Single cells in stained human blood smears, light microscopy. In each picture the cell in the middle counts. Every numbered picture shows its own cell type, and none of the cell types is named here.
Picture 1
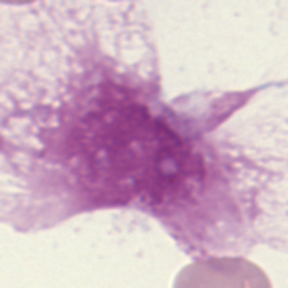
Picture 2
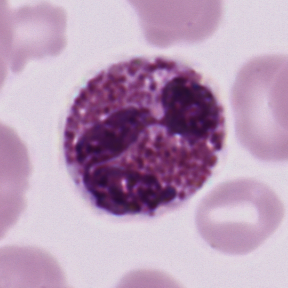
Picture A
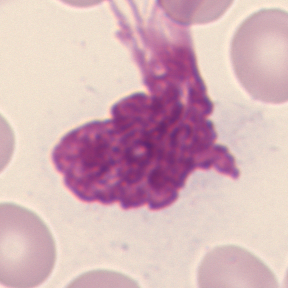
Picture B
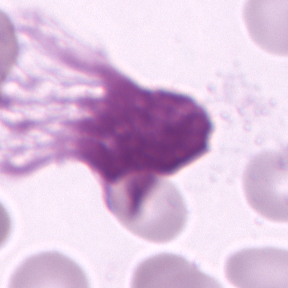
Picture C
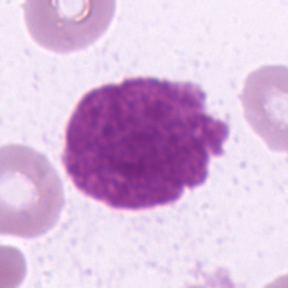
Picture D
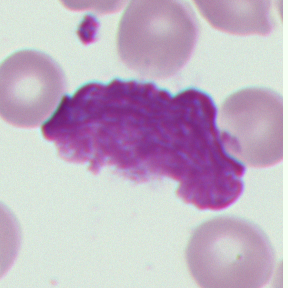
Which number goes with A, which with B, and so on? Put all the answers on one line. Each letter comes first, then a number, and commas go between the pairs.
A 1, B 1, C 1, D 1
